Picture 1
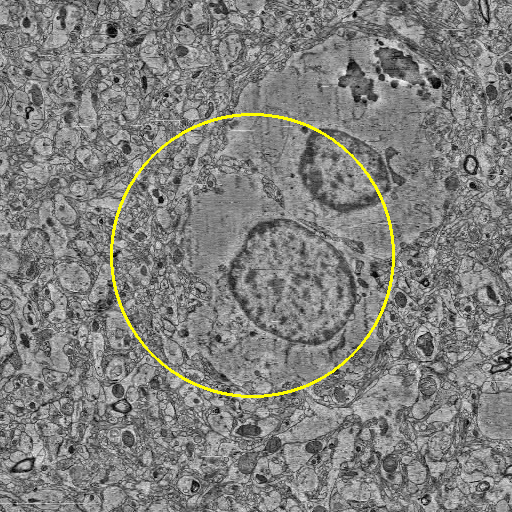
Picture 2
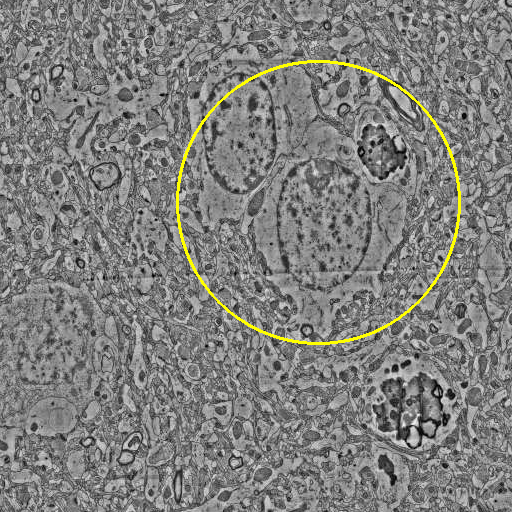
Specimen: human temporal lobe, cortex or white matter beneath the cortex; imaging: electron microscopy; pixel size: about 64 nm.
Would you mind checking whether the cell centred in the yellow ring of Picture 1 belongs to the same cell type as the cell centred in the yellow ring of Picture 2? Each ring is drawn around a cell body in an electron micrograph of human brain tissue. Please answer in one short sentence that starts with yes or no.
Yes, both cells are of the same type.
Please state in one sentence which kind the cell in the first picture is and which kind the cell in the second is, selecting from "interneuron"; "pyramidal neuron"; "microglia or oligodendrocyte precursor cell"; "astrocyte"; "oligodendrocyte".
In both pictures the ring is centred on an astrocyte.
